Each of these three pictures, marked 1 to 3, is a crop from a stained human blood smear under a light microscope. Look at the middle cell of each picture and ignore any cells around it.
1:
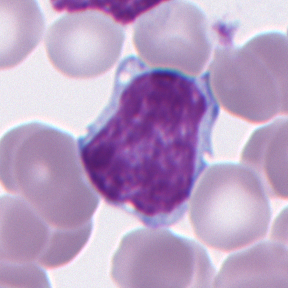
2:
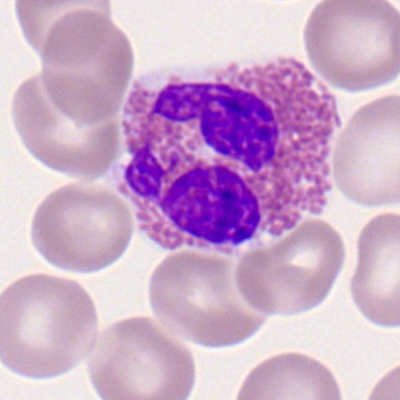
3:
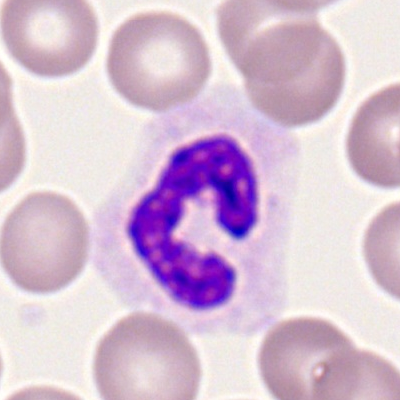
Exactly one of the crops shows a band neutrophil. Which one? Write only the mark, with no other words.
3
